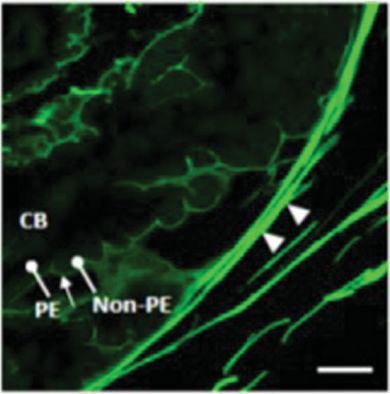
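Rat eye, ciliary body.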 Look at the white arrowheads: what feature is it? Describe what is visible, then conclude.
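Zonular fibers. Bright, thick, straight green strands run diagonally across the field. The strands lie parallel to one another outside the cellular tissue.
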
